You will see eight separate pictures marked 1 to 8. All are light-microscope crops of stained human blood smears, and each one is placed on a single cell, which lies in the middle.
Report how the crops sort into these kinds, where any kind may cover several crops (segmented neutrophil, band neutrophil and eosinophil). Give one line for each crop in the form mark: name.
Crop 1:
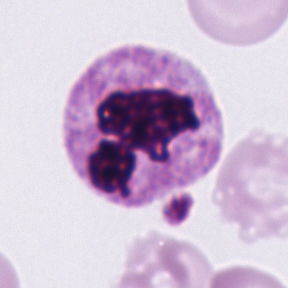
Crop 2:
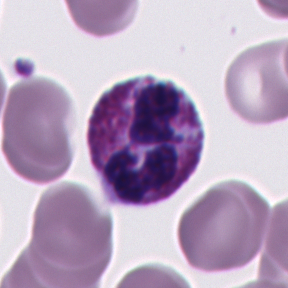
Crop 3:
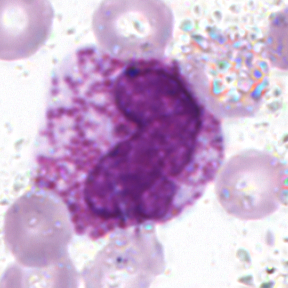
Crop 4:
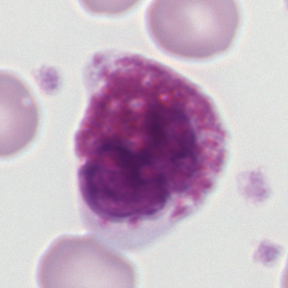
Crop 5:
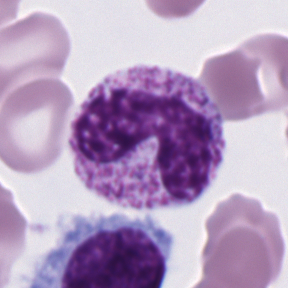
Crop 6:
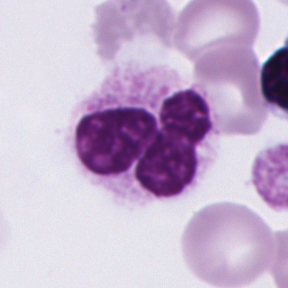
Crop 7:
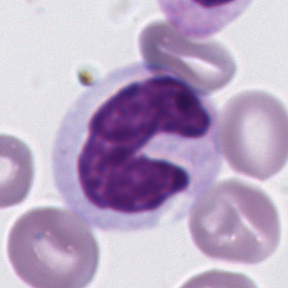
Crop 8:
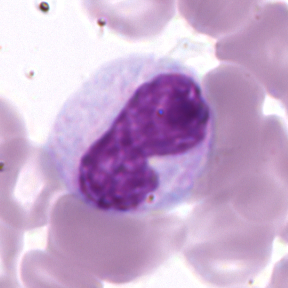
1: segmented neutrophil
2: eosinophil
3: eosinophil
4: eosinophil
5: band neutrophil
6: segmented neutrophil
7: band neutrophil
8: band neutrophil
